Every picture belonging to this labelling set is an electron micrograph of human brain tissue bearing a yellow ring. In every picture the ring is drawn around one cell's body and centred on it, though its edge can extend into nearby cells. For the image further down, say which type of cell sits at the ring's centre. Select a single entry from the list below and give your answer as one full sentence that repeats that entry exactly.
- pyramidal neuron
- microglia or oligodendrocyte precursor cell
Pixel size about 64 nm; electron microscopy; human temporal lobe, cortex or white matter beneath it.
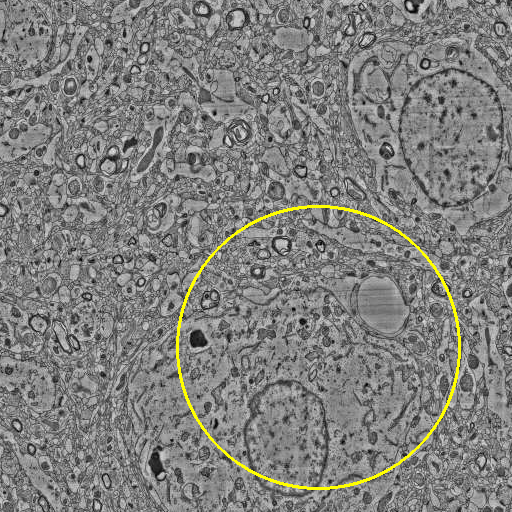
In the picture, a microglial cell or oligodendrocyte precursor cell is the cell at the centre of the yellow ring.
